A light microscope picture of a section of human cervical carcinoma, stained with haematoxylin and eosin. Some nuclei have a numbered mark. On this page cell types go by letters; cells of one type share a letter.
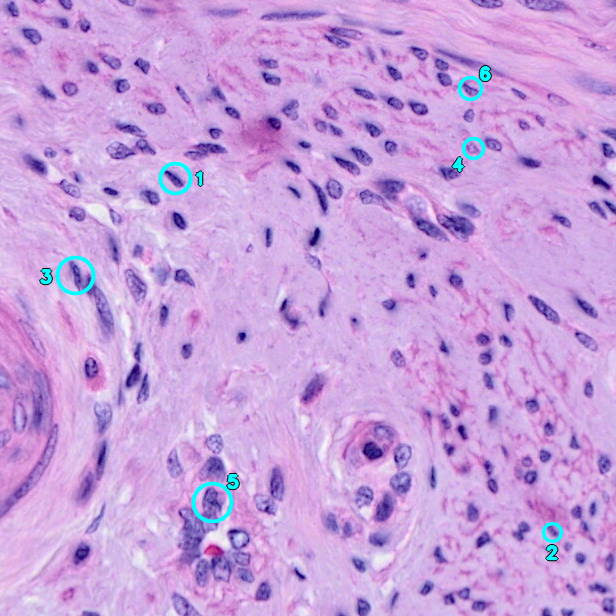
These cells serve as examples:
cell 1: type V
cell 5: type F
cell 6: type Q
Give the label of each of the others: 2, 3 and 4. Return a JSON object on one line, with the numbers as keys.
{"2": "type Q", "3": "type V", "4": "type Q"}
